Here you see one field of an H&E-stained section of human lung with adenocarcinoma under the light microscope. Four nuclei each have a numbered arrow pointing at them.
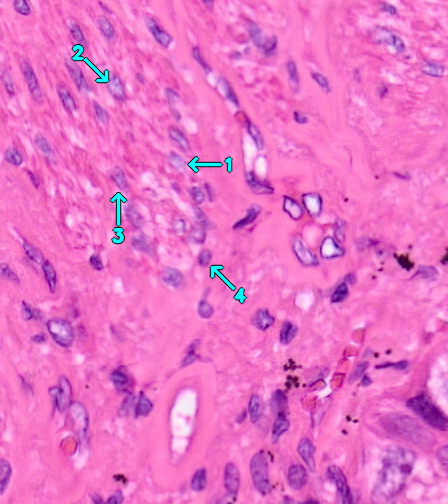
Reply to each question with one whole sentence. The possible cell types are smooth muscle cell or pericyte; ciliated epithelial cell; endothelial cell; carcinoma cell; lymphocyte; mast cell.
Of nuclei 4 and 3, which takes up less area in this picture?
Nucleus 4 is the smaller one; nucleus 3 covers about 1.5 times its area.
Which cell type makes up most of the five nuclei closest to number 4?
Most of the five nuclei nearest to number 4 are those of smooth muscle cells or pericytes.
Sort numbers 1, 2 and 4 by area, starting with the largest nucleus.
Largest first, the order by area is 2, 1, 4.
